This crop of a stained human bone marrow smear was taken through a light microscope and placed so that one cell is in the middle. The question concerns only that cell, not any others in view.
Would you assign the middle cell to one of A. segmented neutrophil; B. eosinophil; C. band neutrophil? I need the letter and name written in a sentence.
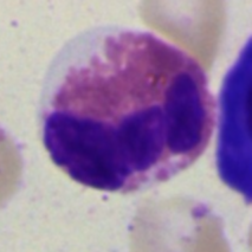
Given that the cell in the middle is an eosinophil, option B is correct.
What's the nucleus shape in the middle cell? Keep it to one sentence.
The nucleus has been partitioned into two or more lobes.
